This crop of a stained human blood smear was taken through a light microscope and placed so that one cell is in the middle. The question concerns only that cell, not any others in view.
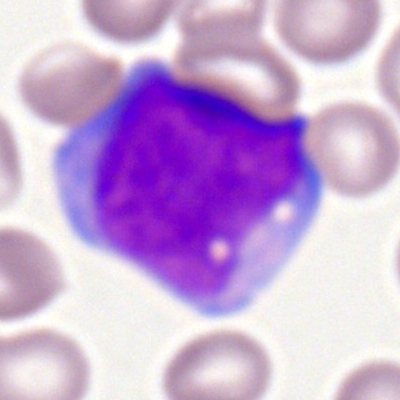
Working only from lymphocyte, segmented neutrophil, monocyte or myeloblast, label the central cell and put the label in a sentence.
The cell at the middle of the frame should be recorded as a myeloblast.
